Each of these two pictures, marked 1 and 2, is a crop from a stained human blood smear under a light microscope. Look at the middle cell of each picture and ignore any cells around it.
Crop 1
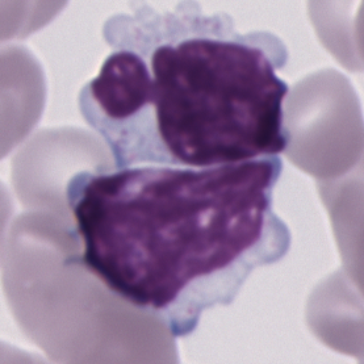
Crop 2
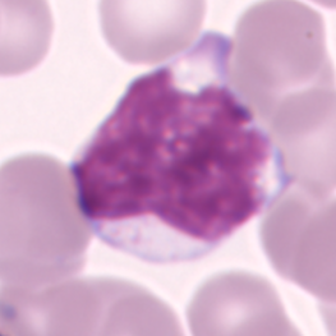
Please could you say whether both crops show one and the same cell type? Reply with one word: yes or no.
yes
